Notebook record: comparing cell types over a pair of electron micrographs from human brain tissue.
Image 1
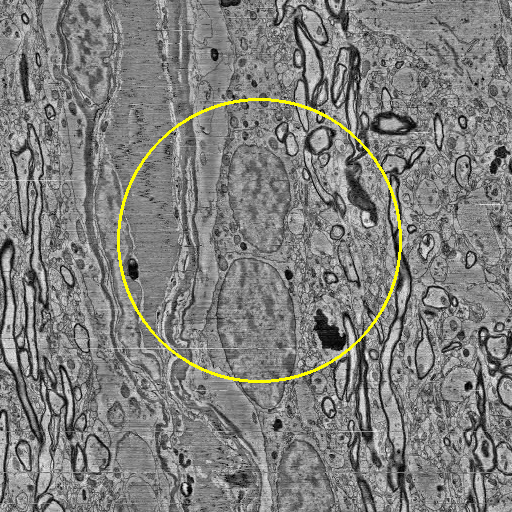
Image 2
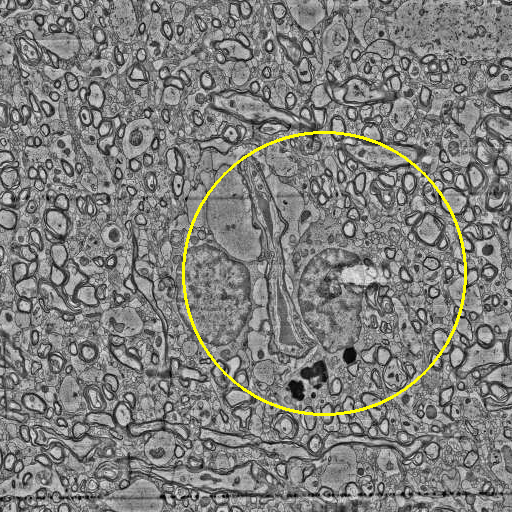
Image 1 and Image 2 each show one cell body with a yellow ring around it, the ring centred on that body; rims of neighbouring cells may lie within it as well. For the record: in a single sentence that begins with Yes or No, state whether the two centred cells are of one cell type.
Yes, one cell type is shared by the centred cells of Image 1 and Image 2.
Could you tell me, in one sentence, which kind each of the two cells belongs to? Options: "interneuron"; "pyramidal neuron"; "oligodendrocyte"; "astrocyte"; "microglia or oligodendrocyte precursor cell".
In each of the two pictures, the ringed cell is an oligodendrocyte.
